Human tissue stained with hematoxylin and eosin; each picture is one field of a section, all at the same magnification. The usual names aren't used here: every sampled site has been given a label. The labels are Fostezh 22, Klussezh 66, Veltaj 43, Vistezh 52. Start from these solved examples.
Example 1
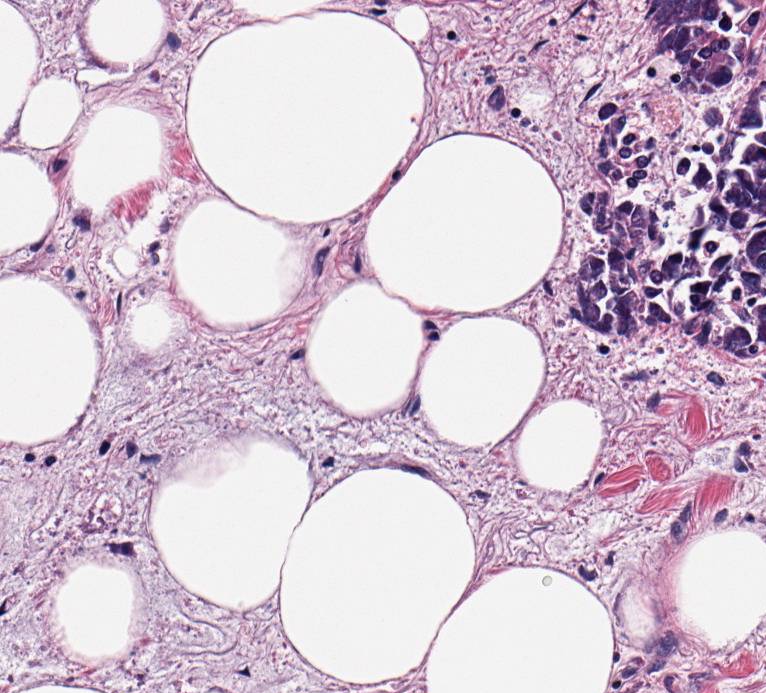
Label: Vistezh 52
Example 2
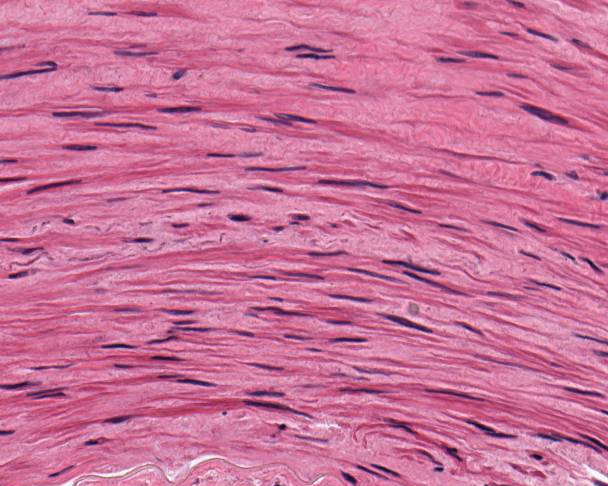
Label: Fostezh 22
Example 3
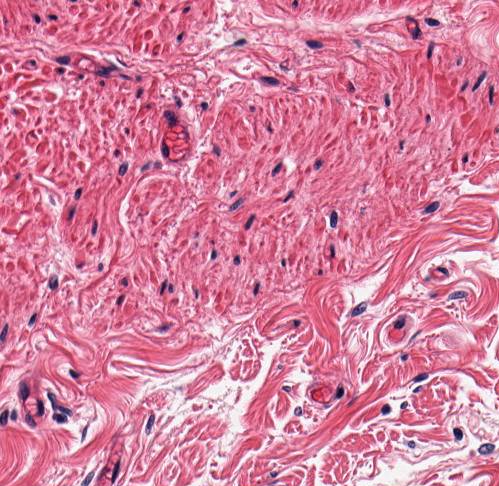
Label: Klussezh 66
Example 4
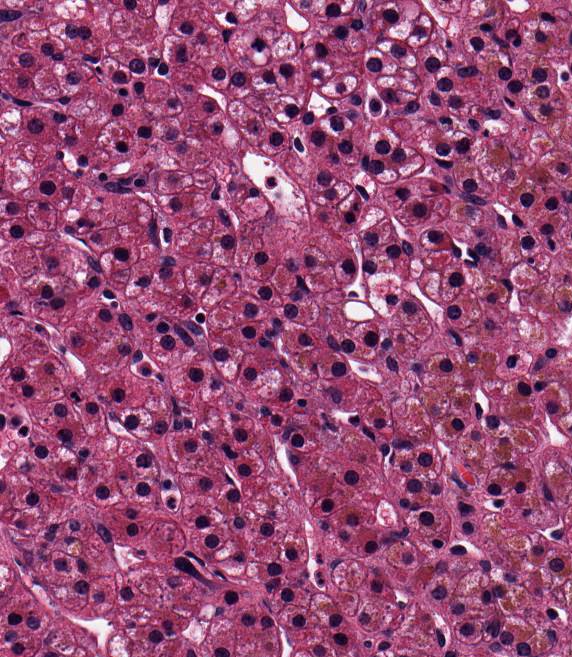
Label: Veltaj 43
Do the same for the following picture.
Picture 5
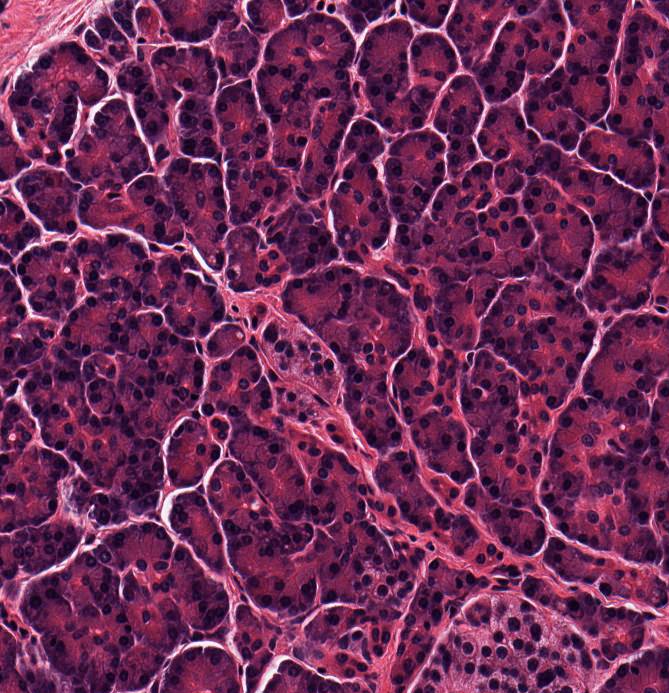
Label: Vistezh 52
